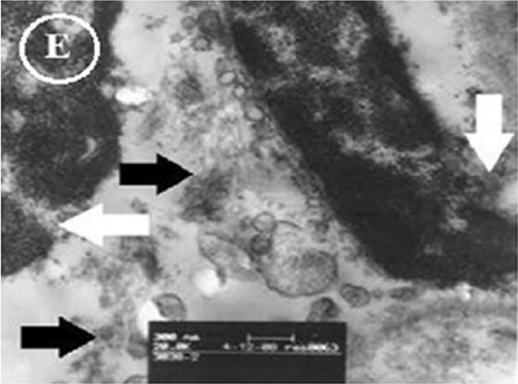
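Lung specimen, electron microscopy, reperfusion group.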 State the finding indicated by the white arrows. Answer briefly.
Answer: Disintegrated naked nuclei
